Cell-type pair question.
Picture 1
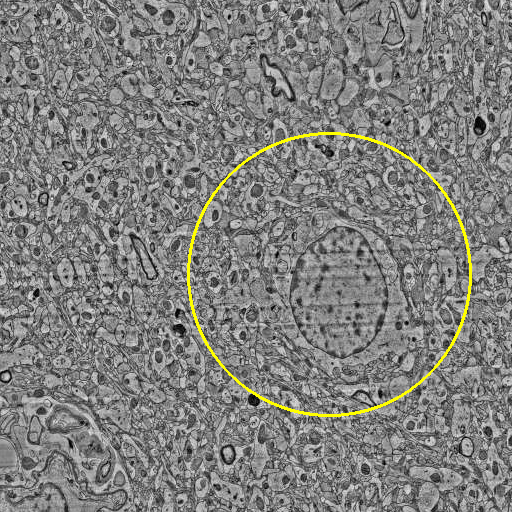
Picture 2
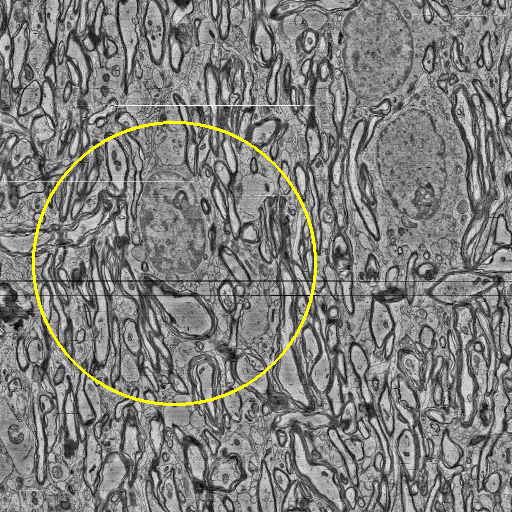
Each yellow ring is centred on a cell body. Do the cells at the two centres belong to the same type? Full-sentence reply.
No, the two cells belong to two types.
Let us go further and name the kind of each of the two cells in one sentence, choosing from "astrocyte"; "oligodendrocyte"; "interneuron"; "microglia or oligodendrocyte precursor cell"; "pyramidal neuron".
The ring of the first picture is on an astrocyte, the ring of the second on an oligodendrocyte.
